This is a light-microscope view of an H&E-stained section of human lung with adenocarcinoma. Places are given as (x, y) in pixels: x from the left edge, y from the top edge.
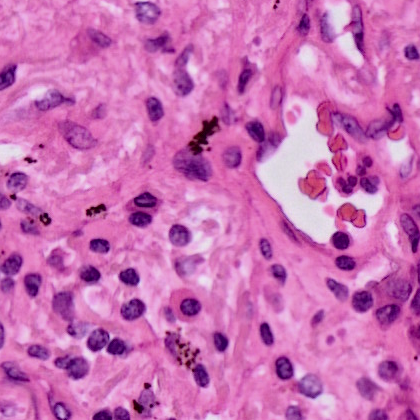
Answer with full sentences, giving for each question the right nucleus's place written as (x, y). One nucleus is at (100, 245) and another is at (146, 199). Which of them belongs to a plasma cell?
Of the two nuclei, the one at (146, 199) belongs to a plasma cell.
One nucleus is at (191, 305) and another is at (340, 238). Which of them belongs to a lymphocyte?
The nucleus at (340, 238), rather than the other, belongs to a lymphocyte.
